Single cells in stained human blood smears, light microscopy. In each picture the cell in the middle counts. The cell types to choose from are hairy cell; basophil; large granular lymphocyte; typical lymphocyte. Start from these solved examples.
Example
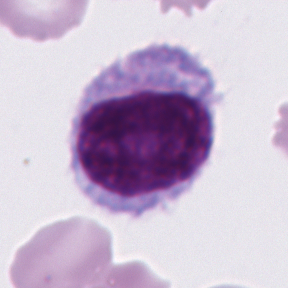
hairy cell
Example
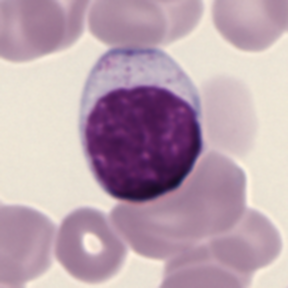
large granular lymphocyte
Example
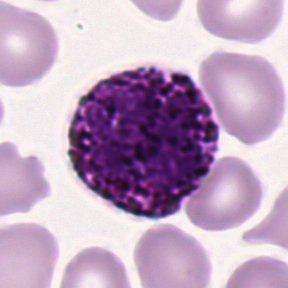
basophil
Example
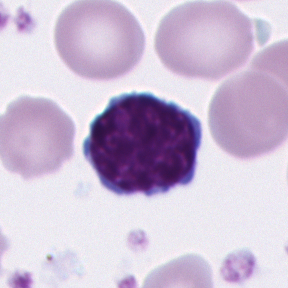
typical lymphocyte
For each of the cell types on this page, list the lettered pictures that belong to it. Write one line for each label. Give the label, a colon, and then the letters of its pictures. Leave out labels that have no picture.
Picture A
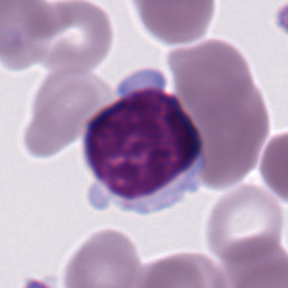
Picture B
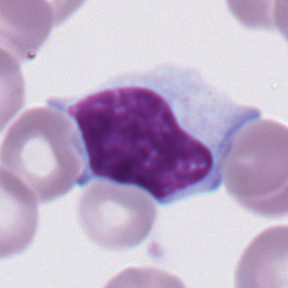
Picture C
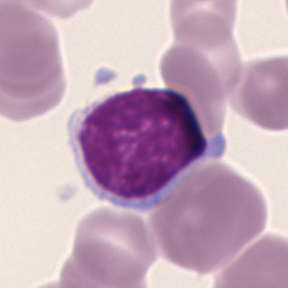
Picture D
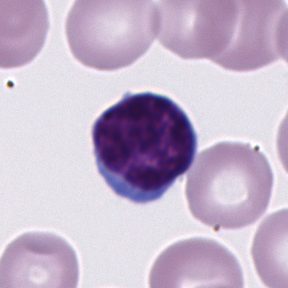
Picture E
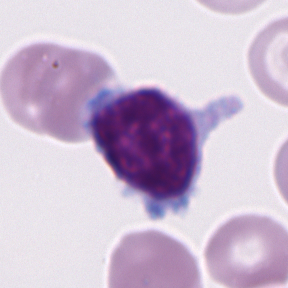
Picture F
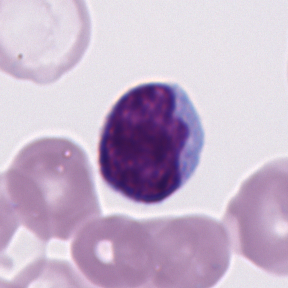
large granular lymphocyte: A, C
typical lymphocyte: B, D, E, F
